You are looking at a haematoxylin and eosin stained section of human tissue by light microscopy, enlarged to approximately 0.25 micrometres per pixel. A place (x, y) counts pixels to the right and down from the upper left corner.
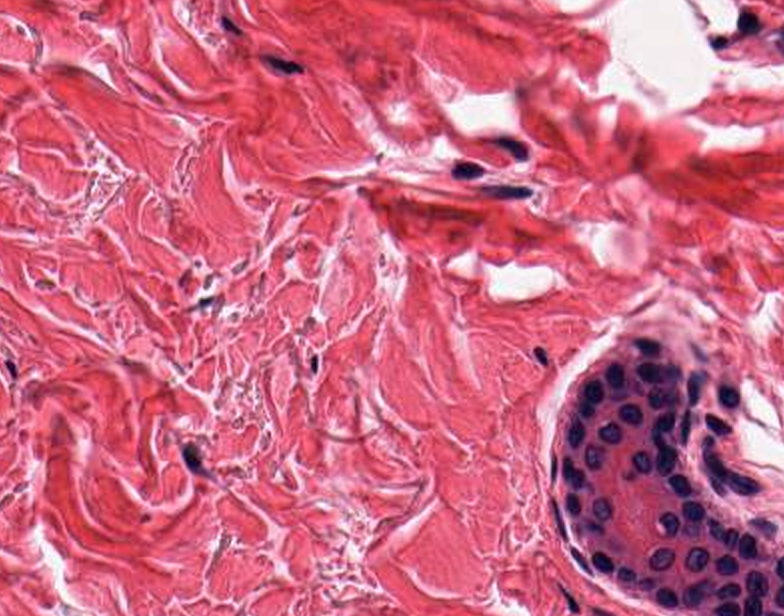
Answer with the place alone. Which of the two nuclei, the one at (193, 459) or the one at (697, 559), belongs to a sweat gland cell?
(697, 559)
